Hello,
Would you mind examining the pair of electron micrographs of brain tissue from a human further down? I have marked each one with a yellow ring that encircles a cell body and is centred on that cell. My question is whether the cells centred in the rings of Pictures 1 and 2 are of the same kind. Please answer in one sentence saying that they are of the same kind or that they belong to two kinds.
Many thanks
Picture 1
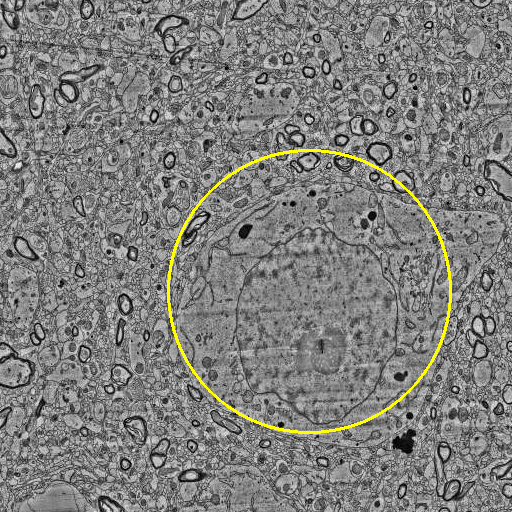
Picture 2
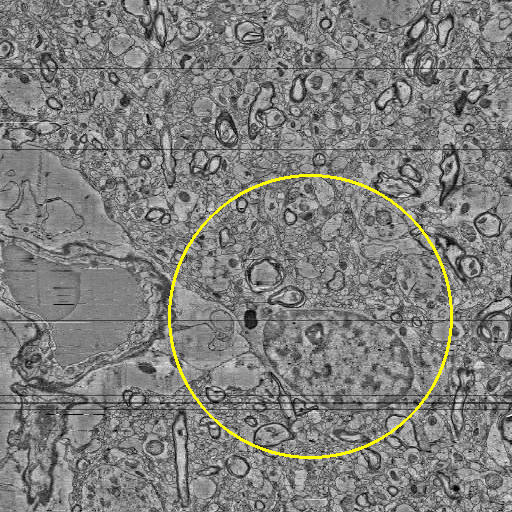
In Pictures 1 and 2, the cells at the heart of the rings belong to two kinds.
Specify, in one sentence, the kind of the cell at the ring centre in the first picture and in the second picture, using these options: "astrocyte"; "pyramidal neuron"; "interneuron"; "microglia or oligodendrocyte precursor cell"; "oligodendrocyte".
So the first is a pyramidal neuron, the second an oligodendrocyte.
